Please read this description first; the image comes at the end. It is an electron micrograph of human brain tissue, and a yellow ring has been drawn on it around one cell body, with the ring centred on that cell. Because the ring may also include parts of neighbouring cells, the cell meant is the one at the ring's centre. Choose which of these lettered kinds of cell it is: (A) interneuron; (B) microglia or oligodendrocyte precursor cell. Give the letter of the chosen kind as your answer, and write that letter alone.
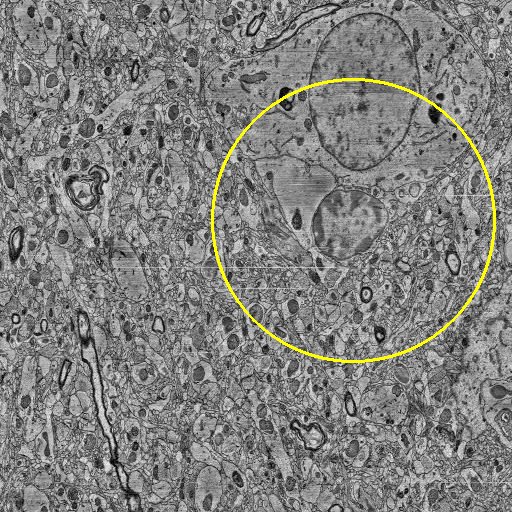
B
